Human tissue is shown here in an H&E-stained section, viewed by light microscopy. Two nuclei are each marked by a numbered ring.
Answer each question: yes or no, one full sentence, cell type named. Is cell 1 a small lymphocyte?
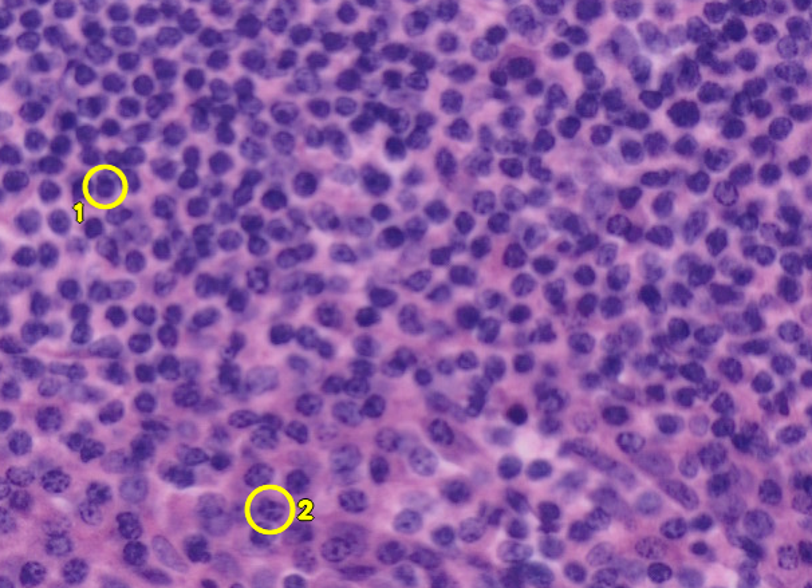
Yes, that is correct: the cell numbered 1 is a small lymphocyte.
